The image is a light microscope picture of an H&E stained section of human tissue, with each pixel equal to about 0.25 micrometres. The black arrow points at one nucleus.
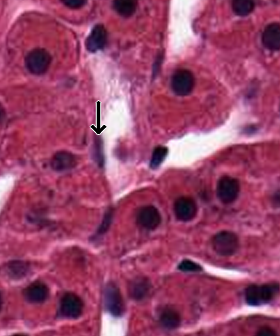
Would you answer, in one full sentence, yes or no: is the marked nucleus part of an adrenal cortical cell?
No, the marked nucleus is not the nucleus of an adrenal cortical cell but of a supporting cell.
